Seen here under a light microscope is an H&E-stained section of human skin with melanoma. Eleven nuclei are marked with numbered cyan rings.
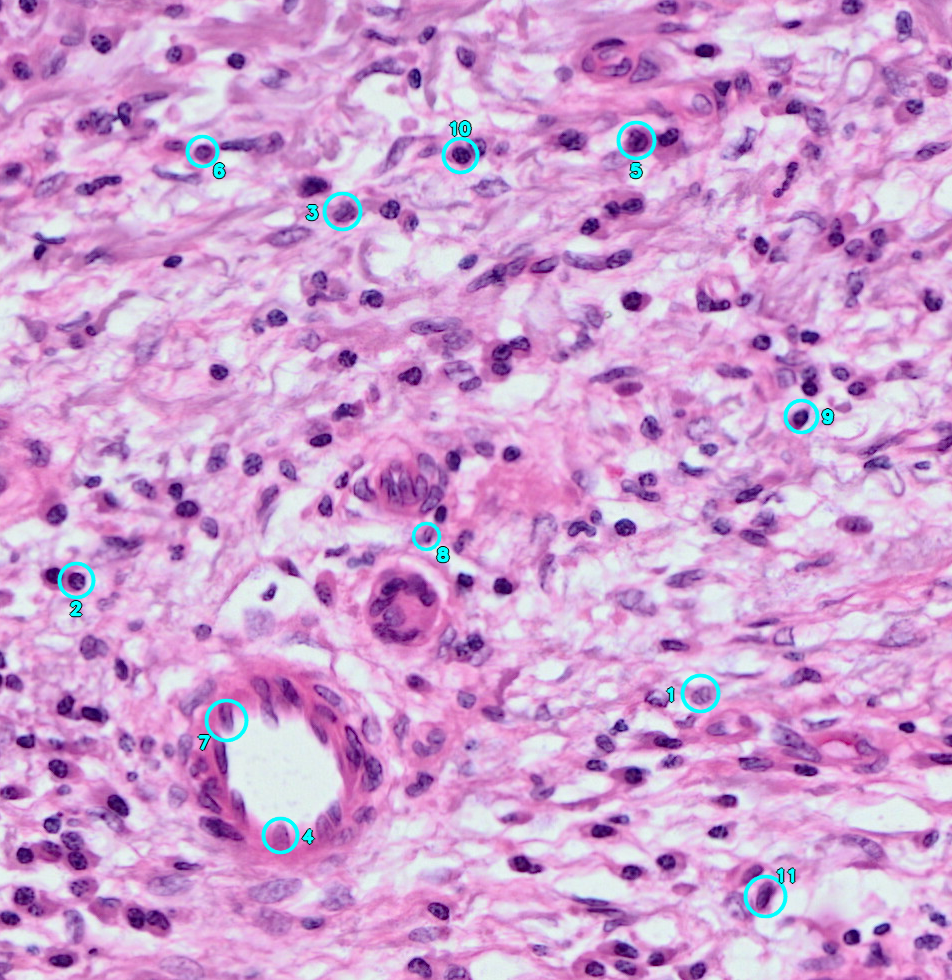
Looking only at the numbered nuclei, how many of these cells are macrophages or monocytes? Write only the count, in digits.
4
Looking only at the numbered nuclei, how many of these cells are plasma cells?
5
